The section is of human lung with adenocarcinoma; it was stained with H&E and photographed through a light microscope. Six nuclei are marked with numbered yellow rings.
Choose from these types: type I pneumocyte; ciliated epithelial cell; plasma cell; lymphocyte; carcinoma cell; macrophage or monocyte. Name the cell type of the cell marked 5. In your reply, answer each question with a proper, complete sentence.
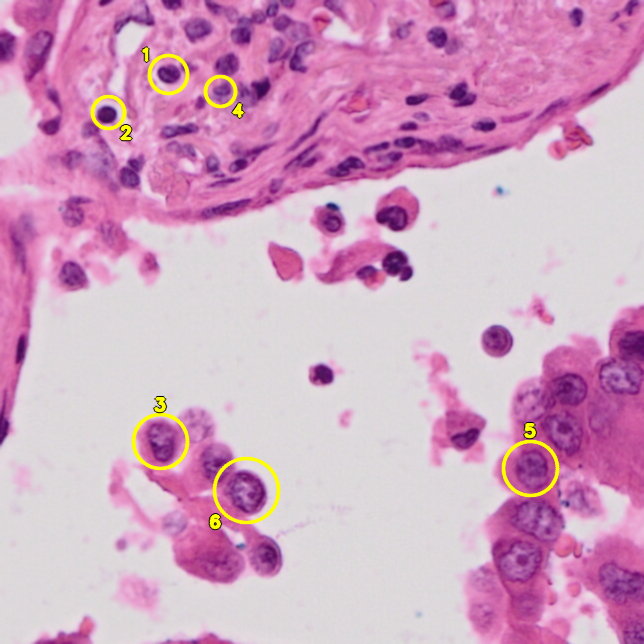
The one numbered 5 among the marked cells is a carcinoma cell.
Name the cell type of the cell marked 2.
That cell with number 2 is a lymphocyte.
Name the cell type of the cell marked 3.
The marked nucleus 3 is that of a carcinoma cell.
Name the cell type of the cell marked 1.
The one labeled 1 is a lymphocyte, to put it simply.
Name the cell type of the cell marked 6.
That cell with number 6 is a carcinoma cell.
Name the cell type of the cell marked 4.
The cell indicated by marker 4 is a lymphocyte in this section.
